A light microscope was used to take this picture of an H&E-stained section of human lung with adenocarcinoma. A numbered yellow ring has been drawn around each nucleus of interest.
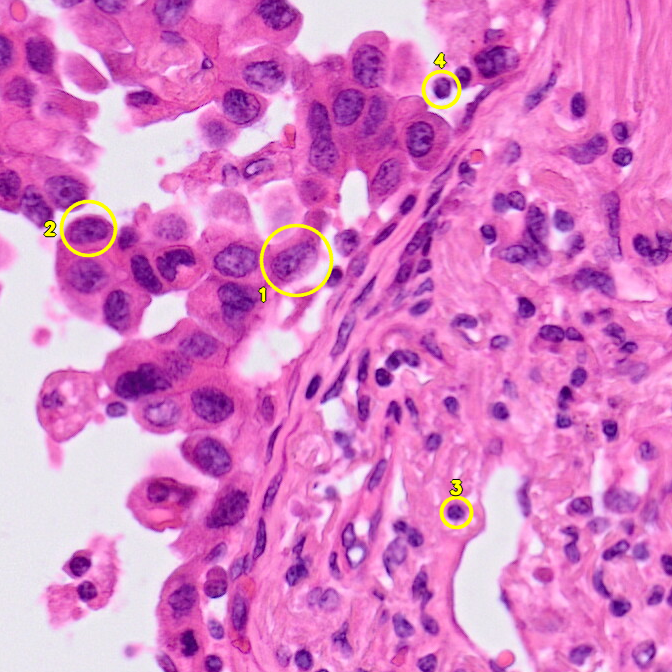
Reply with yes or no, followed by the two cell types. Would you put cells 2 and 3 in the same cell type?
No, cell 2 is a carcinoma cell, and cell 3 is, by contrast, a lymphocyte.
